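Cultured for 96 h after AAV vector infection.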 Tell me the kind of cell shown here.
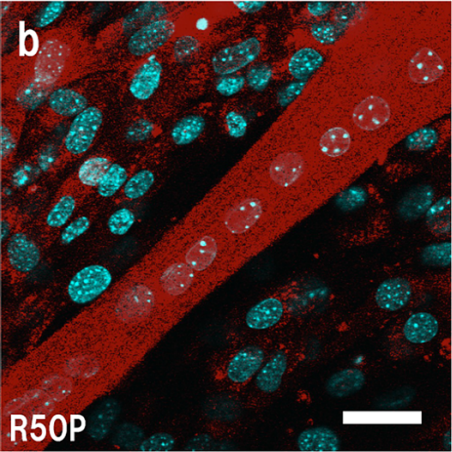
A: Myotube.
